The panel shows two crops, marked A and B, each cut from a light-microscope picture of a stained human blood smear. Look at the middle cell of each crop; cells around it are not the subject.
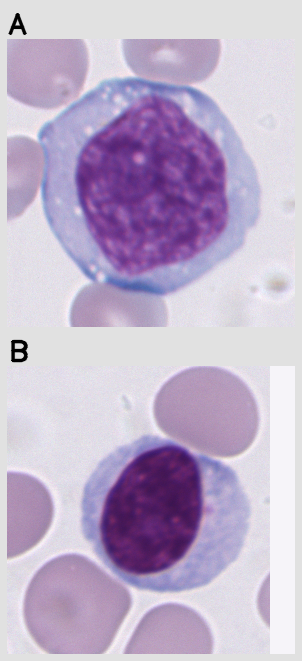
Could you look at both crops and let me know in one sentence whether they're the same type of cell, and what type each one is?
No, crop A and crop B contain, respectively, a myeloblast and a typical lymphocyte.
